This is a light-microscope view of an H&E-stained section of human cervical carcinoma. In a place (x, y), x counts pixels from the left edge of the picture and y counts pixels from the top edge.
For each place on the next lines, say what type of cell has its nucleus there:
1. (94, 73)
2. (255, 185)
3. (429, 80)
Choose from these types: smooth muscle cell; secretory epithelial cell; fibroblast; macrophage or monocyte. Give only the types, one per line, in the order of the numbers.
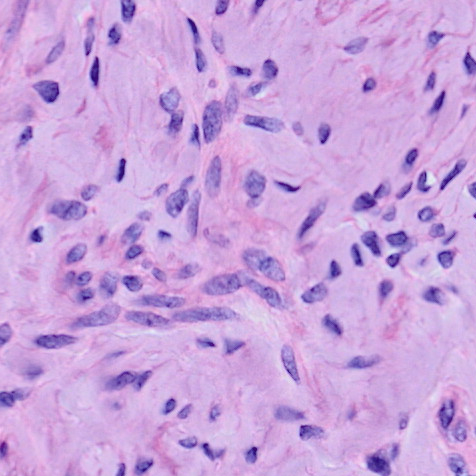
fibroblast
fibroblast
smooth muscle cell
